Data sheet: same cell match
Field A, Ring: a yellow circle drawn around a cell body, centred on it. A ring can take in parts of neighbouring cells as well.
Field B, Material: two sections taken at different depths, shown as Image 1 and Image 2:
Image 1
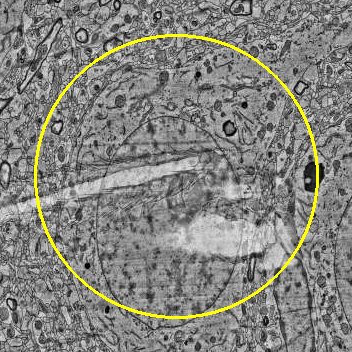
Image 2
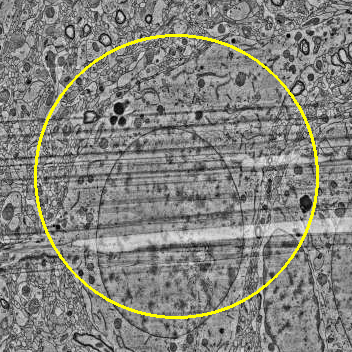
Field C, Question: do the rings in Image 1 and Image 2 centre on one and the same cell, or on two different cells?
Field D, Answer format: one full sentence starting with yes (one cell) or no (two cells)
Yes, the marked cell is the same in both rings.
